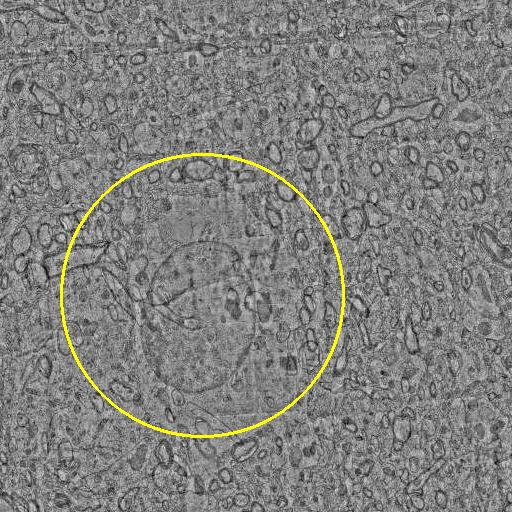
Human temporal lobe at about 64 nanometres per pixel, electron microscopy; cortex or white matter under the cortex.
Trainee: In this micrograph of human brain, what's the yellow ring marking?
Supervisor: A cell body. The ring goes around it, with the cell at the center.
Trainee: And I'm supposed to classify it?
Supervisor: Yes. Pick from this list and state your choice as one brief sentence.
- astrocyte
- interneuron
The cell at the ring's center is an astrocyte.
